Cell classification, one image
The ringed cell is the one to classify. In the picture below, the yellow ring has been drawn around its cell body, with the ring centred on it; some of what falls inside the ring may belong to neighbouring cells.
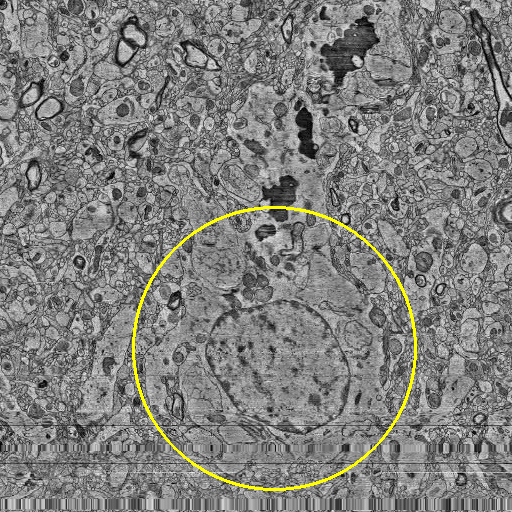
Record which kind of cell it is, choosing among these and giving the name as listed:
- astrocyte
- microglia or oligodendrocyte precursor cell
astrocyte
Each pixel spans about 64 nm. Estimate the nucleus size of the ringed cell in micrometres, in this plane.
In this plane the nucleus spans approximately 10 by 8 micrometers.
